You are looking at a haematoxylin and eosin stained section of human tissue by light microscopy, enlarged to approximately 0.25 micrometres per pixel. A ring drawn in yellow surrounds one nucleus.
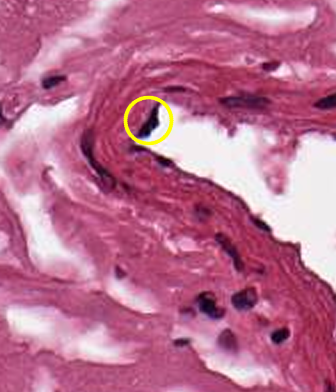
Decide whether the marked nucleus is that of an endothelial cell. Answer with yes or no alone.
yes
